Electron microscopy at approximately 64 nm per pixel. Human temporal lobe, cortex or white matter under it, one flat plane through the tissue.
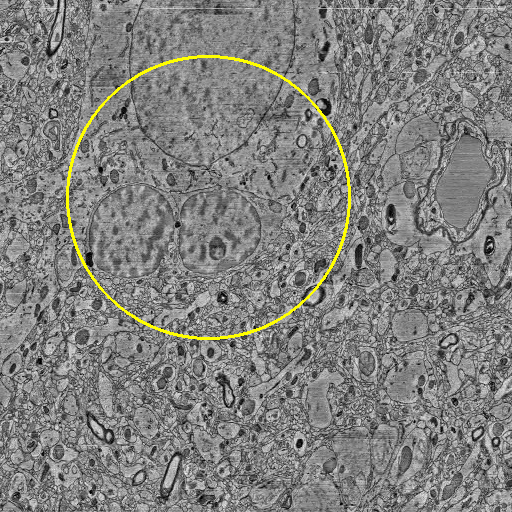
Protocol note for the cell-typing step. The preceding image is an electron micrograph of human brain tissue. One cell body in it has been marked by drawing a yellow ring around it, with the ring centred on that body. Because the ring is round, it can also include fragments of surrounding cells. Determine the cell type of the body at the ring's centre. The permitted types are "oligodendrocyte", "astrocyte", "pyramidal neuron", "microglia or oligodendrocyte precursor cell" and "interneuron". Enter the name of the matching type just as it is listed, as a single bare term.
oligodendrocyte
